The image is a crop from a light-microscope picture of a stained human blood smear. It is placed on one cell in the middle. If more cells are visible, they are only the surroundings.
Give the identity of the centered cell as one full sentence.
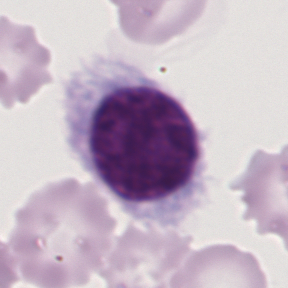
The middle position in this crop is taken by a hairy cell.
